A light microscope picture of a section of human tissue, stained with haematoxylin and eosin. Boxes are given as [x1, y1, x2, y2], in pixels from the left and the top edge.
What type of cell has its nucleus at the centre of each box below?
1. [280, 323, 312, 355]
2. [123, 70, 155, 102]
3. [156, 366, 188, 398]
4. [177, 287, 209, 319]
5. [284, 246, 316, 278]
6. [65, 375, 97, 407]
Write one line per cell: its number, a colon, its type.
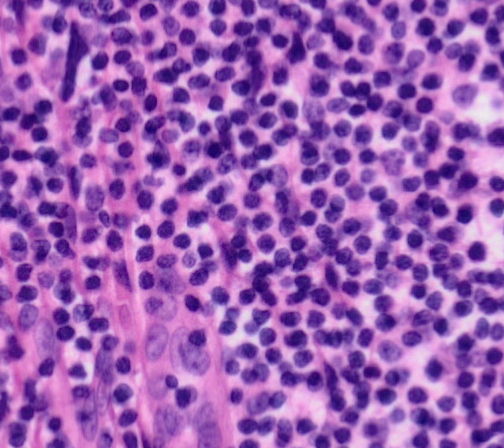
1: small lymphocyte
2: small lymphocyte
3: endothelial cell
4: endothelial cell
5: small lymphocyte
6: endothelial cell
